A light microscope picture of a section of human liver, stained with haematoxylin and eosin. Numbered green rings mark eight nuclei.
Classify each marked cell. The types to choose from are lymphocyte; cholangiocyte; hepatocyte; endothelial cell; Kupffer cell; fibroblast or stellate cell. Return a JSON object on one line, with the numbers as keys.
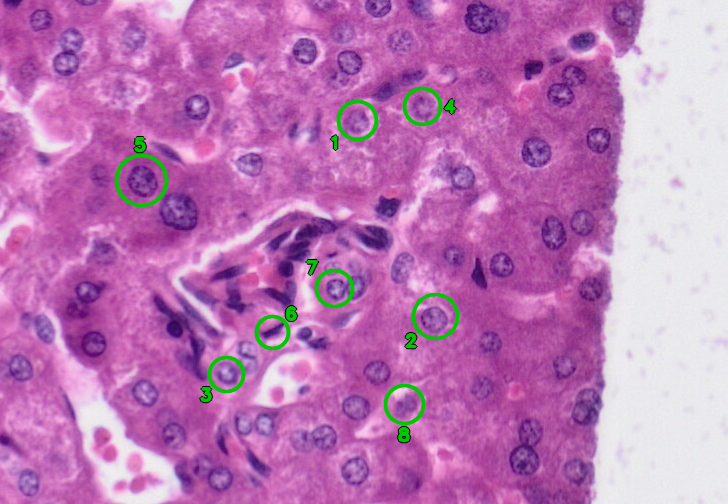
{"1": "hepatocyte", "2": "hepatocyte", "3": "cholangiocyte", "4": "hepatocyte", "5": "hepatocyte", "6": "fibroblast or stellate cell", "7": "cholangiocyte", "8": "Kupffer cell"}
